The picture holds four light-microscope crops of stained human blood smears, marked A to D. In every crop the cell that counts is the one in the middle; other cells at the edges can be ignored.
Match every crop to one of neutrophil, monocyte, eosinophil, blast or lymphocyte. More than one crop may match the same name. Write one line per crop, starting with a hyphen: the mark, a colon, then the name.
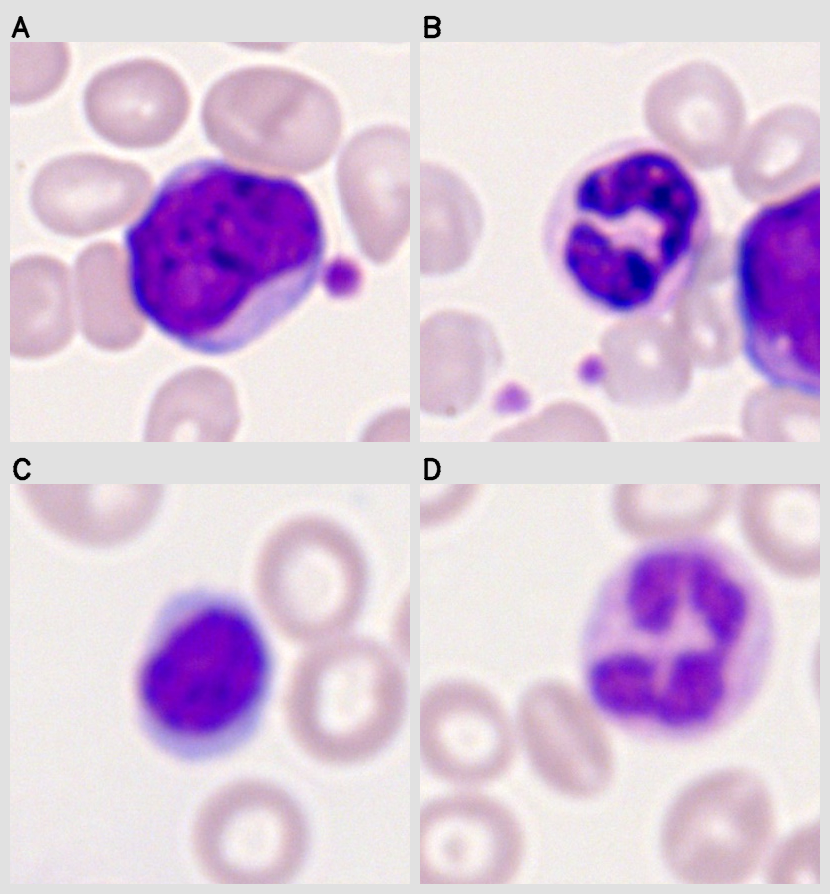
- A: blast
- B: neutrophil
- C: lymphocyte
- D: neutrophil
